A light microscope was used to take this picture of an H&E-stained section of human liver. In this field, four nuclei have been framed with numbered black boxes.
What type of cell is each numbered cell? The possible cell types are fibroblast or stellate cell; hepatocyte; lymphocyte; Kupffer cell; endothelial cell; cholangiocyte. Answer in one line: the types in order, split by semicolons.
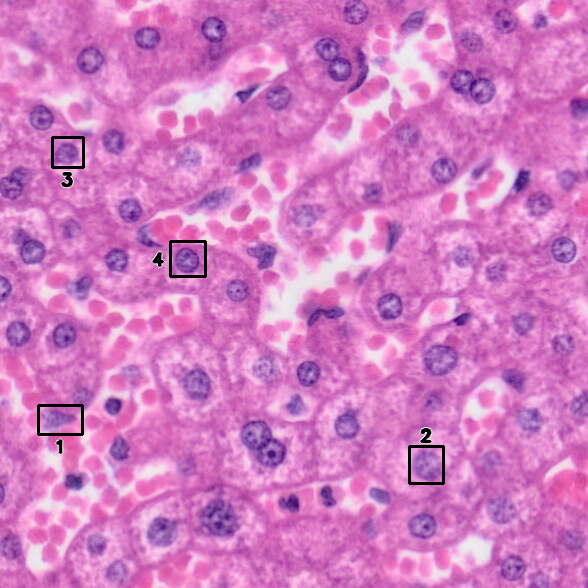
endothelial cell; hepatocyte; hepatocyte; hepatocyte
